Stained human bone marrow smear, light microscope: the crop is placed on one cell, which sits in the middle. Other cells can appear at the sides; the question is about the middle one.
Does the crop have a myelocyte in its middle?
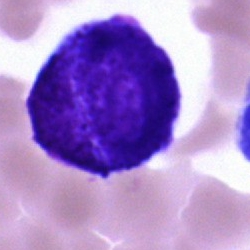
no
